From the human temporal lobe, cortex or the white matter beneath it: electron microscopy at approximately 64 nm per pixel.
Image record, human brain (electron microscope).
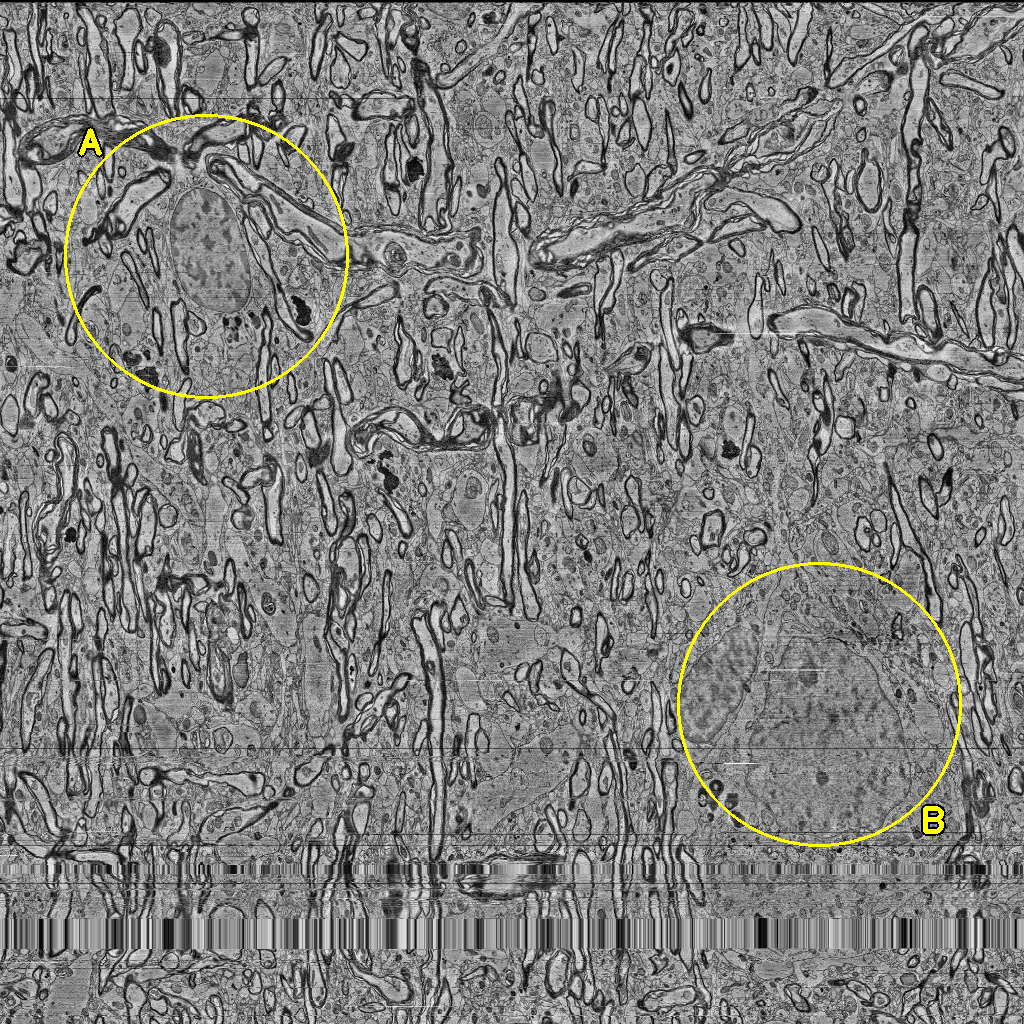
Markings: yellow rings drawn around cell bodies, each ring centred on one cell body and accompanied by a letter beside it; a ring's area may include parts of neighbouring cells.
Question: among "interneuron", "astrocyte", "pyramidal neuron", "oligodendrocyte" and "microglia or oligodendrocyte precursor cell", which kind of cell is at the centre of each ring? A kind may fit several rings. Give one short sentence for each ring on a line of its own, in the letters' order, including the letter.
Ring A is centred on the cell body of a microglial cell or oligodendrocyte precursor cell.
Ring B is centred on the cell body of an interneuron.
